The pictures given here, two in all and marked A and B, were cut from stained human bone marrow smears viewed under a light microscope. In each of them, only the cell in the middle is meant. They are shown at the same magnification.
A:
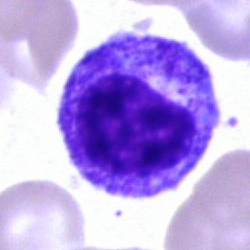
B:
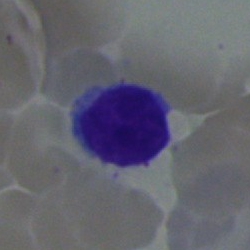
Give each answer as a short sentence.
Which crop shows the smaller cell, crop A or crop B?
Crop B holds the smaller cell, since the cell in crop A covers about 3 times as much area.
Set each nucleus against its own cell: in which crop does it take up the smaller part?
It is the cell in crop A that is filled less by its nucleus.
